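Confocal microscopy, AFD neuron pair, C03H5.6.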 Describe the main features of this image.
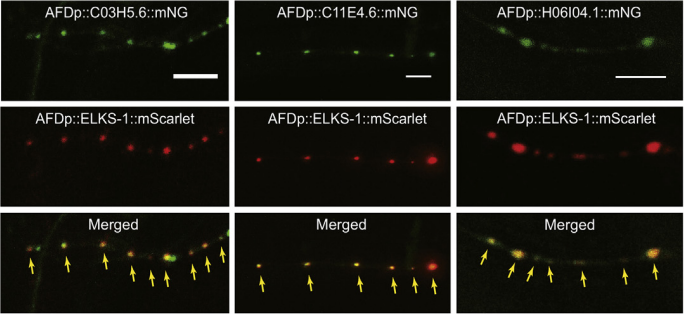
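In the green images the dots lie spaced along a faint line that traces the process. The red images show a similar row of dots, some larger and brighter than others.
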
